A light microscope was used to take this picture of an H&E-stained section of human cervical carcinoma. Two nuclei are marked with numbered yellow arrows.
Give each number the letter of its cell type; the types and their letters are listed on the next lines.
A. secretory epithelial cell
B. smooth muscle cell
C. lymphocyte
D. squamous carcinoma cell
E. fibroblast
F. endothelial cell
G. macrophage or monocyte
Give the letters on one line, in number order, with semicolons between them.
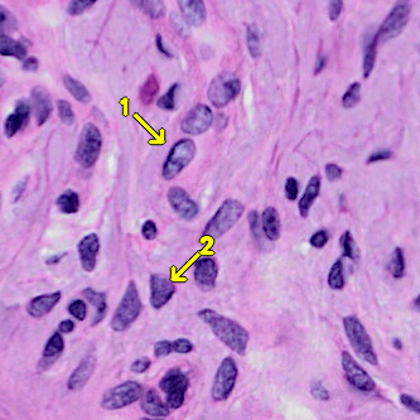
F; E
